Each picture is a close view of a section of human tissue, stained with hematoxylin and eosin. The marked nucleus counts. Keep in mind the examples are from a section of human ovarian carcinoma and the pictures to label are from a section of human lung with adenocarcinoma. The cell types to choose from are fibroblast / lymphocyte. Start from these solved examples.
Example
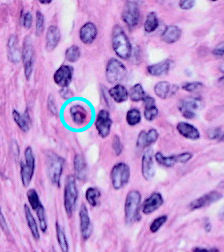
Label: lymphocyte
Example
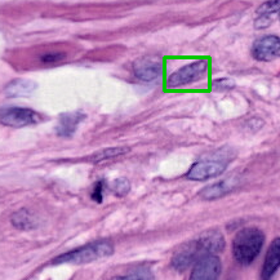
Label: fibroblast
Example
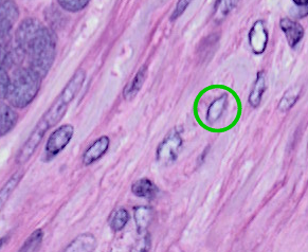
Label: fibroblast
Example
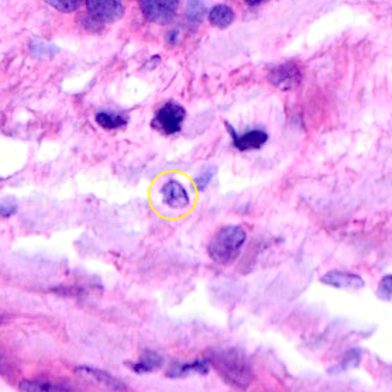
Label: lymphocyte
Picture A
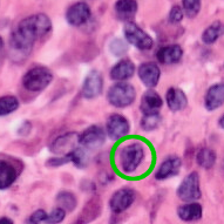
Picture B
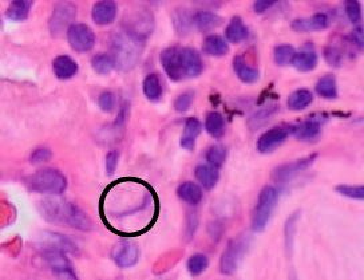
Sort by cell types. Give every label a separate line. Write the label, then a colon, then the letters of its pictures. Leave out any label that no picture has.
fibroblast: B
lymphocyte: A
